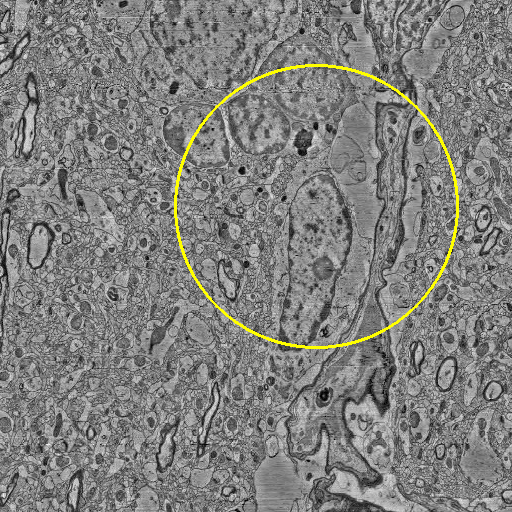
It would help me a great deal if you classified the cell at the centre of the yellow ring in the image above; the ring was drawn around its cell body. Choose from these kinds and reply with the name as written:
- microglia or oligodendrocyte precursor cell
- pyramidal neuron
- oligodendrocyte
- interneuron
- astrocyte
microglia or oligodendrocyte precursor cell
